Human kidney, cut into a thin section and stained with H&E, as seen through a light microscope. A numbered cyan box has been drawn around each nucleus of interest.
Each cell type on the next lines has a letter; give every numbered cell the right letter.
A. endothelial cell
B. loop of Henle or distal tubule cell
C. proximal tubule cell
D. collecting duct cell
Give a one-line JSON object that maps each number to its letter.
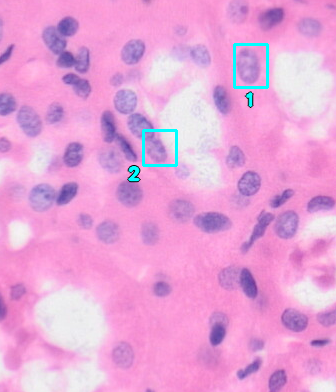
{"1": "C", "2": "D"}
